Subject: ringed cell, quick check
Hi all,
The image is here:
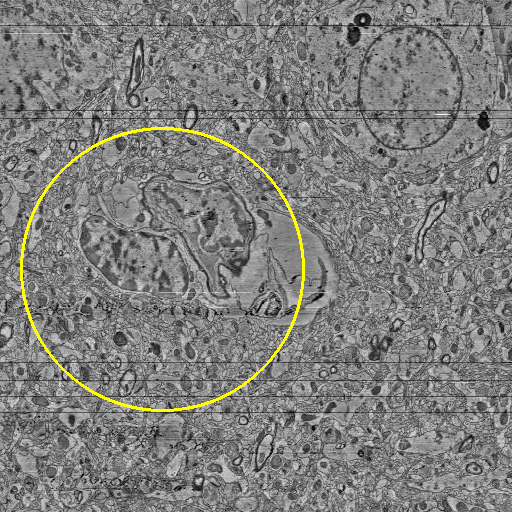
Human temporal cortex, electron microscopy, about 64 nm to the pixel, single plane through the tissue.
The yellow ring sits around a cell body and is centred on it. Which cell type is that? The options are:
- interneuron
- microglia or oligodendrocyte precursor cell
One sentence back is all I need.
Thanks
That ringed cell is a microglial cell or oligodendrocyte precursor cell.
